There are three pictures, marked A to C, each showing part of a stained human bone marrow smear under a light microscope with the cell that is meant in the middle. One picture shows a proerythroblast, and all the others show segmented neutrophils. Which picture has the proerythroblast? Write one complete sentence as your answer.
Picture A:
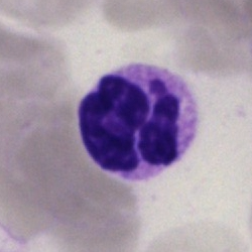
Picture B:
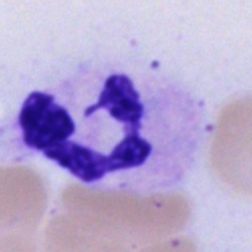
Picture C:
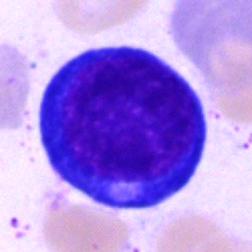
Picture C shows the proerythroblast.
